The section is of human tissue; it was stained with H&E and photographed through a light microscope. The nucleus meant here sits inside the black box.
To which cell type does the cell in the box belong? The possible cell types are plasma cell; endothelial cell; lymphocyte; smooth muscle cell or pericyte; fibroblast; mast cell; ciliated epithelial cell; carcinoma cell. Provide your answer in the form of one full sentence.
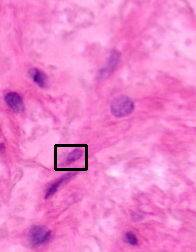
So far as cell type goes, the cell in the box is a smooth muscle cell or pericyte.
